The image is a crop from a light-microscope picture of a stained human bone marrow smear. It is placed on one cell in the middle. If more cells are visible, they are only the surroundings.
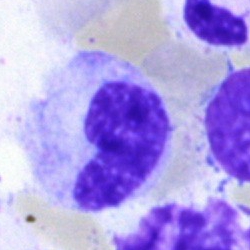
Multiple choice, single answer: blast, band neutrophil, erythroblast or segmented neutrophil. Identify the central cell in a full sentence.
The crop shows a band neutrophil in its centre.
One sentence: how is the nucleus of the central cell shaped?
The cell carries one compact nucleus shaped round, oval or like a kidney.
